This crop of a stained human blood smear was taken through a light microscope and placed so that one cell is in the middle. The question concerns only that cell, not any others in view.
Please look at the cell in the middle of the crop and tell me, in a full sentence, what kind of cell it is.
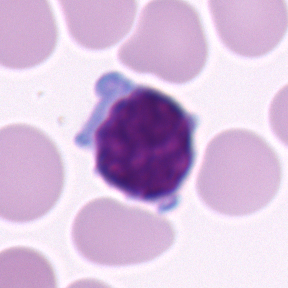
The cell positioned in the middle of the field is a lymphocyte.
